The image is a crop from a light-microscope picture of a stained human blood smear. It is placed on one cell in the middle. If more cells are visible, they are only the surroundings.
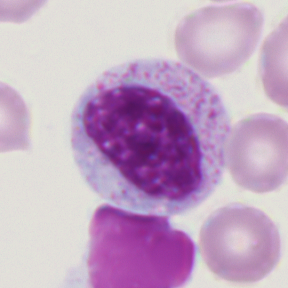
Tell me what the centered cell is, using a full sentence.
Within this crop, a metamyelocyte occupies the central position.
